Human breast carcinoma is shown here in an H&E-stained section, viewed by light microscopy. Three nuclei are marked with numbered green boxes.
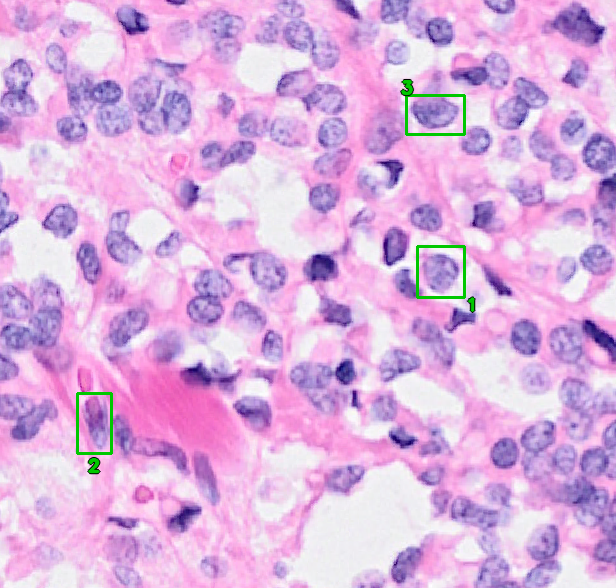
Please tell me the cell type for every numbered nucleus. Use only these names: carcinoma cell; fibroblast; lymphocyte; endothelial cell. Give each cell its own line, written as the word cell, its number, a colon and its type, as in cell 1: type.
cell 1: carcinoma cell
cell 2: endothelial cell
cell 3: carcinoma cell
